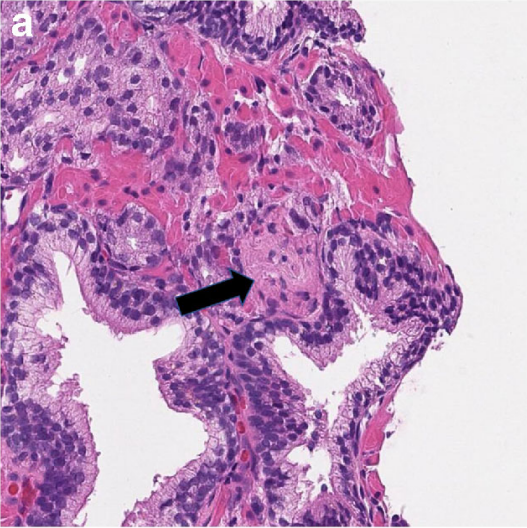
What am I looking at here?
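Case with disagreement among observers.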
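Glands lined by cells with pale cytoplasm and dark basal nuclei surround a pale pink area in the centre. This area has a faintly fibrillary texture with a few thin, dark nuclei scattered in it. Brighter pink strands of stroma run above the glands.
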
